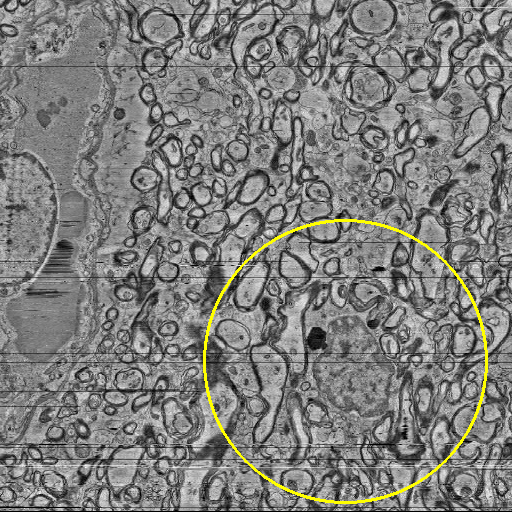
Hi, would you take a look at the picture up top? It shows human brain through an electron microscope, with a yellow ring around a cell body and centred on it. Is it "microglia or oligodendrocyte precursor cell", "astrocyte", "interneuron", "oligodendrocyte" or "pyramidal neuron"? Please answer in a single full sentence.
The best fit for the cell in the middle of the ring is an oligodendrocyte, I reckon.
